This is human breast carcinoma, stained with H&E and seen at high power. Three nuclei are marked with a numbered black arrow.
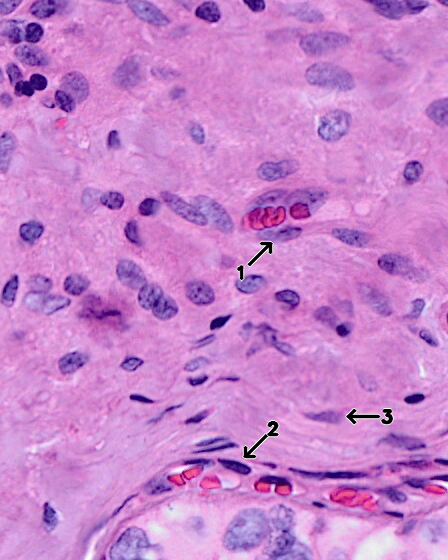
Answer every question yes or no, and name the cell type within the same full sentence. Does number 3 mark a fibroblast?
Yes, the cell shown as number 3 is a fibroblast.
